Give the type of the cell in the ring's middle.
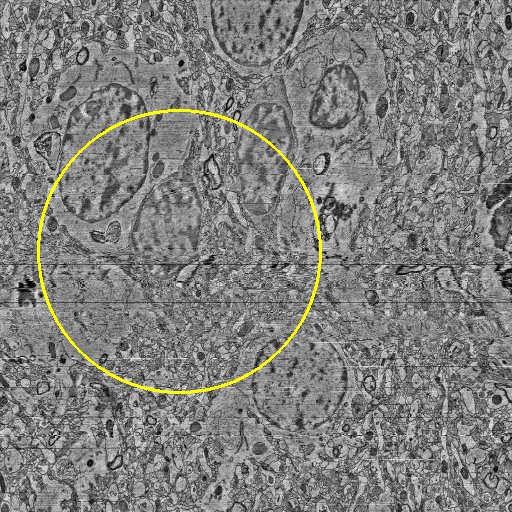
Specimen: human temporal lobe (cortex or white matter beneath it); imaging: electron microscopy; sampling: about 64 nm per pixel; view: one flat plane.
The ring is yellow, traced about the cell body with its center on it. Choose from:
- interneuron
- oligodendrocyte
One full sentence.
Here, an oligodendrocyte is the cell lying at the center of the yellow ring.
